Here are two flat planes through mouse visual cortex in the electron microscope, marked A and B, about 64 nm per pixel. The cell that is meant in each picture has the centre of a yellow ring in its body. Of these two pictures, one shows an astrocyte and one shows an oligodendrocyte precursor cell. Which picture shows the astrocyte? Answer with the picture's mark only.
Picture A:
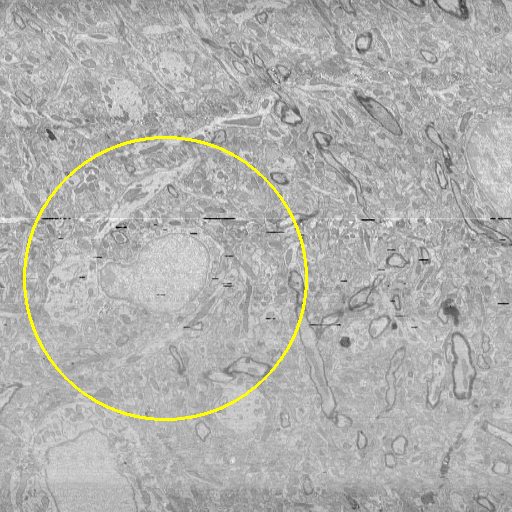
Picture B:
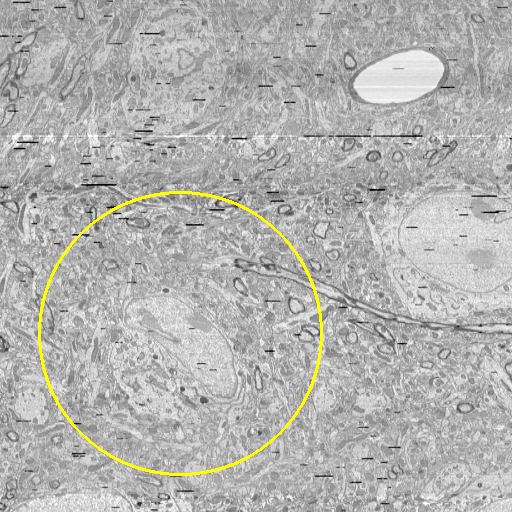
A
